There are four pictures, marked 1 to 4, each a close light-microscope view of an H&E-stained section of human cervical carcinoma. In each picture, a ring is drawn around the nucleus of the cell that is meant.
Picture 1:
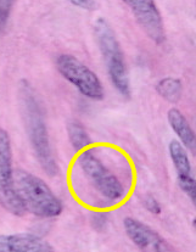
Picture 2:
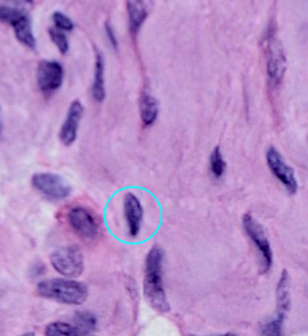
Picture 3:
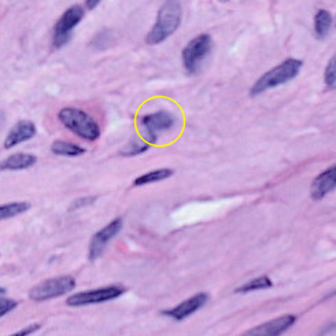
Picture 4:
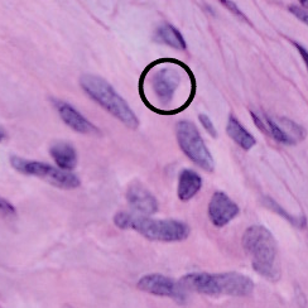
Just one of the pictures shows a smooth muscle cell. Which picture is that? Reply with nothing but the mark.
1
